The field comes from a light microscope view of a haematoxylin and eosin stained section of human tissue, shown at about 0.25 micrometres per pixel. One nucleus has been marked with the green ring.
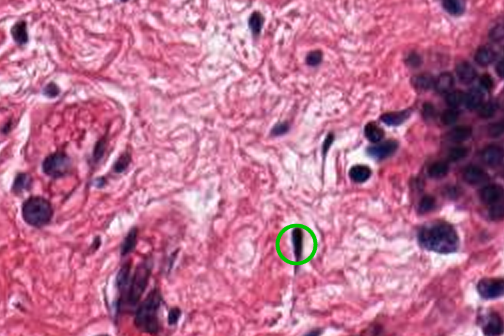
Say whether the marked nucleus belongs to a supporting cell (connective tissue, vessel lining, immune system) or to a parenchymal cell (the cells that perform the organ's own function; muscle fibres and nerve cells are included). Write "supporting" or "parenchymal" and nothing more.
supporting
